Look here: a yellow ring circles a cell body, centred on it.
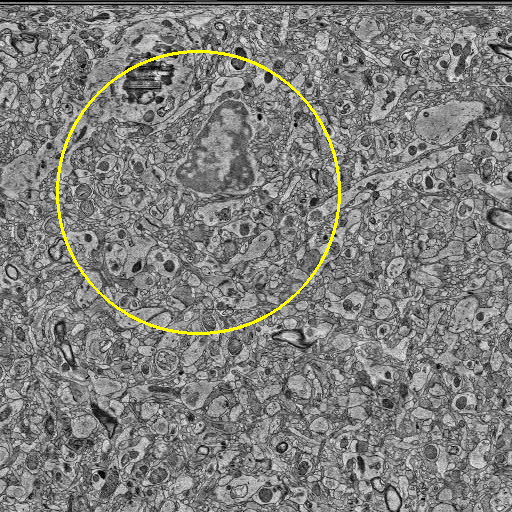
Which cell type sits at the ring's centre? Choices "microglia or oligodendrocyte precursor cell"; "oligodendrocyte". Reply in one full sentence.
The cell at the centre of the yellow ring in the picture is a microglial cell or oligodendrocyte precursor cell.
